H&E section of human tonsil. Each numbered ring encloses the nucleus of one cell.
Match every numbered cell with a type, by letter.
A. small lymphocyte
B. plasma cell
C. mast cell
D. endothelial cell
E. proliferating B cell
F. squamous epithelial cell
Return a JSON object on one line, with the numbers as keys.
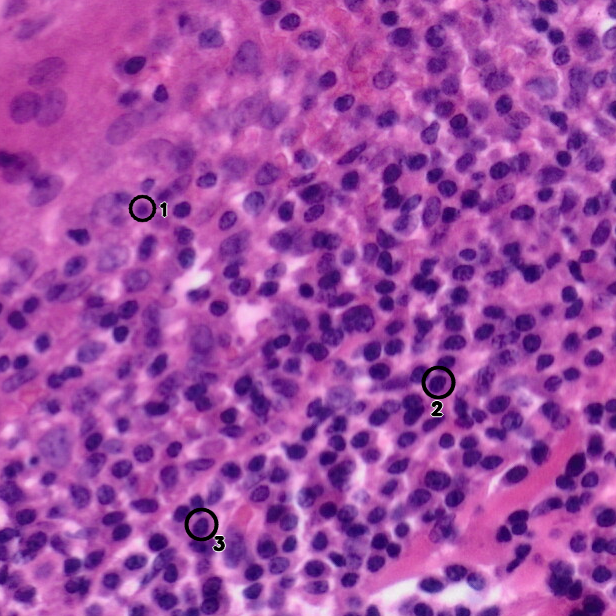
{"1": "F", "2": "B", "3": "B"}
